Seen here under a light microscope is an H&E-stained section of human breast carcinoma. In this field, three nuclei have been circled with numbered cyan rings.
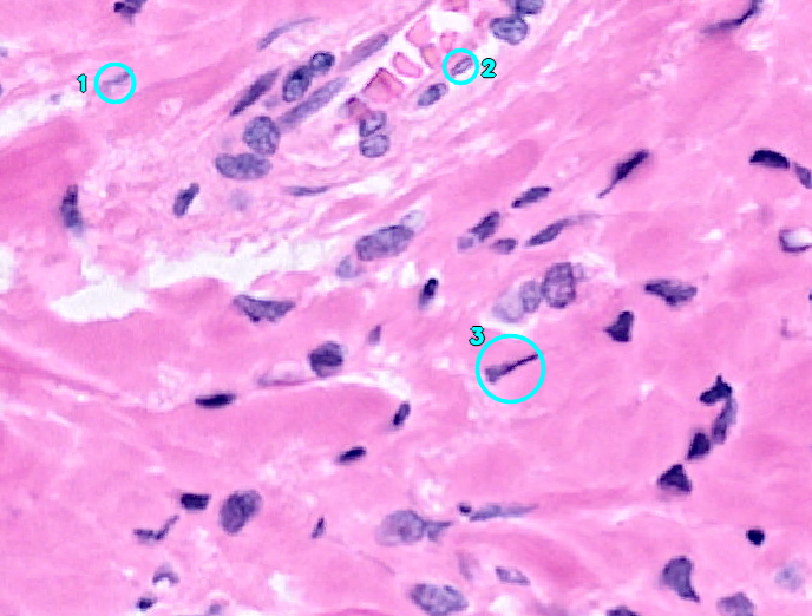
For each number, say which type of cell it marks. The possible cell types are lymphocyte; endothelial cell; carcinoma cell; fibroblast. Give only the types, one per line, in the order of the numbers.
fibroblast
endothelial cell
fibroblast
